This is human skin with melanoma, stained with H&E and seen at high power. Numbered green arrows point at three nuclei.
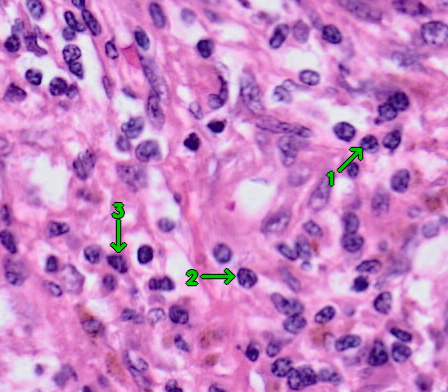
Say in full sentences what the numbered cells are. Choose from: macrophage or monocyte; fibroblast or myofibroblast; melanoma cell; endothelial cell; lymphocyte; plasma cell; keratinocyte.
Cell 1 is a lymphocyte, cell 2 is a lymphocyte and cell 3 is a plasma cell.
